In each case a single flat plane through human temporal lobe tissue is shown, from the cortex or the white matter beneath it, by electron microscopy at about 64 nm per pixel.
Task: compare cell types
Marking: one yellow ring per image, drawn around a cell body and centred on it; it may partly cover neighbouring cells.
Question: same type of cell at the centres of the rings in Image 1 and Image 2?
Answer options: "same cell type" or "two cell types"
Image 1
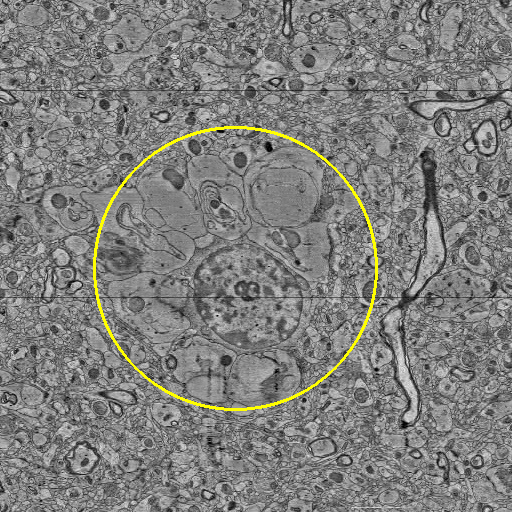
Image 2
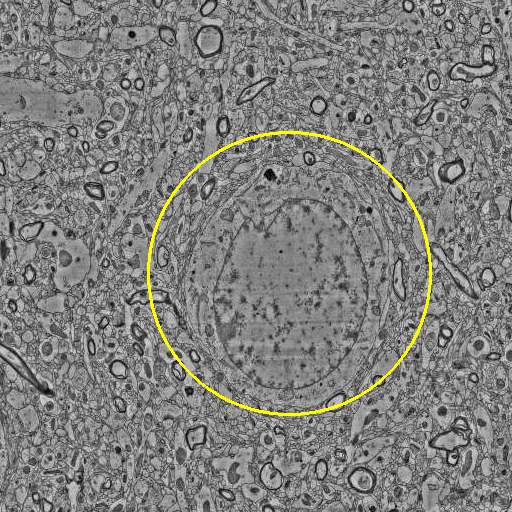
two cell types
